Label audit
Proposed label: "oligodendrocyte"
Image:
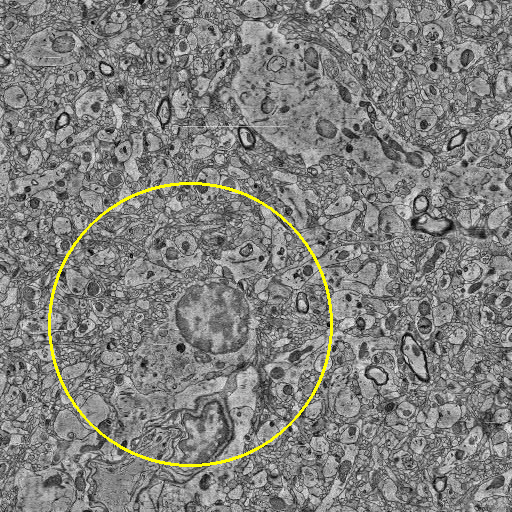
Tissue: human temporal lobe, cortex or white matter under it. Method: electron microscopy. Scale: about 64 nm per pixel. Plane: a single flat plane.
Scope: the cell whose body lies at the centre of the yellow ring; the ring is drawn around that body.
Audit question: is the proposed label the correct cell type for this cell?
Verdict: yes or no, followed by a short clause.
Yes, the label fits this cell.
